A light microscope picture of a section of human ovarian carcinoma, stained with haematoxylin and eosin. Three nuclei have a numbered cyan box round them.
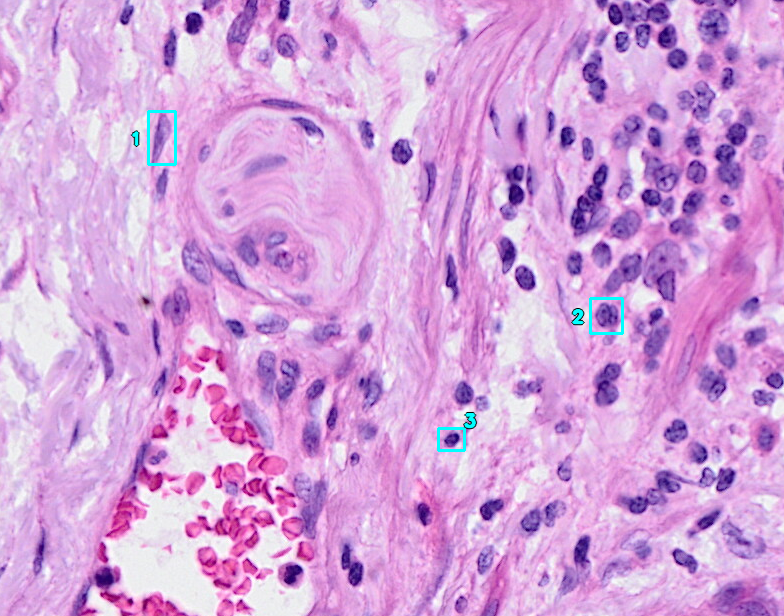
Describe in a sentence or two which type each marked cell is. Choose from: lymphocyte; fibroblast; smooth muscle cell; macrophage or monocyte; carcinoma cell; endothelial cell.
Cell 1 is a fibroblast, cell 2 is a lymphocyte and cell 3 is a lymphocyte.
